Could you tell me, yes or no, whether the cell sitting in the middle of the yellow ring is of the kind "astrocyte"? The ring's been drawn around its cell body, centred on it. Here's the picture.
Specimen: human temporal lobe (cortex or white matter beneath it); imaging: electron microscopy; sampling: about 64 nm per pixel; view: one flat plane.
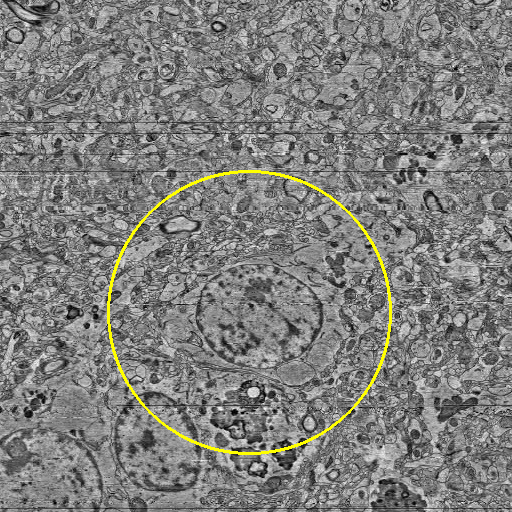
Yes, it is.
